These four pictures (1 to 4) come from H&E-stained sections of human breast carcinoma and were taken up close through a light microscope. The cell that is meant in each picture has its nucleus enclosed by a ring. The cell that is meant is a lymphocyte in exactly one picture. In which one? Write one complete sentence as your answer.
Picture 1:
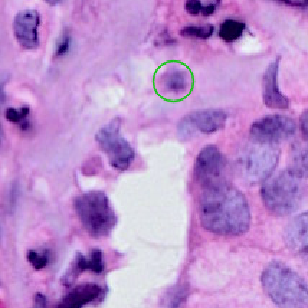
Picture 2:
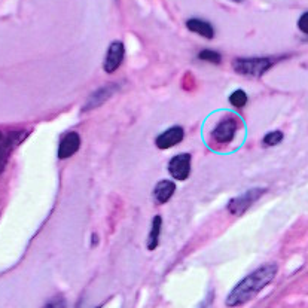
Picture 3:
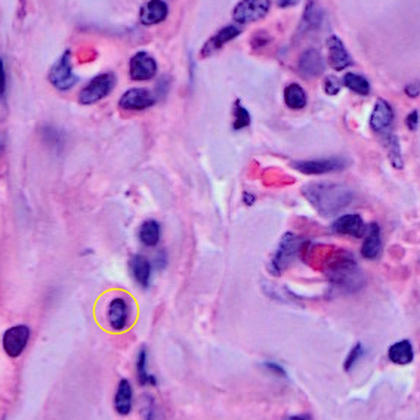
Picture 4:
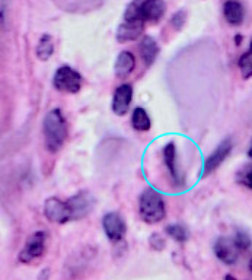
It is picture 4 that shows the lymphocyte.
